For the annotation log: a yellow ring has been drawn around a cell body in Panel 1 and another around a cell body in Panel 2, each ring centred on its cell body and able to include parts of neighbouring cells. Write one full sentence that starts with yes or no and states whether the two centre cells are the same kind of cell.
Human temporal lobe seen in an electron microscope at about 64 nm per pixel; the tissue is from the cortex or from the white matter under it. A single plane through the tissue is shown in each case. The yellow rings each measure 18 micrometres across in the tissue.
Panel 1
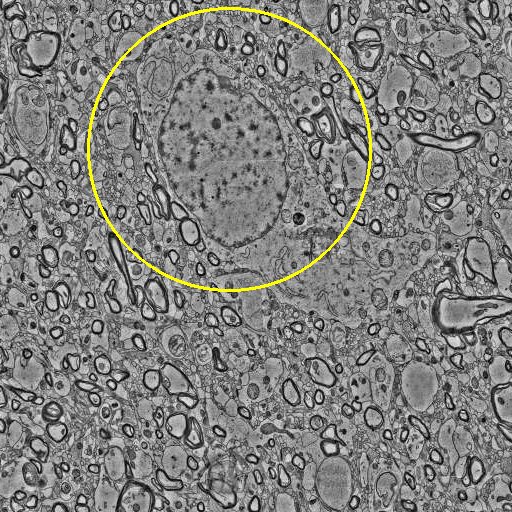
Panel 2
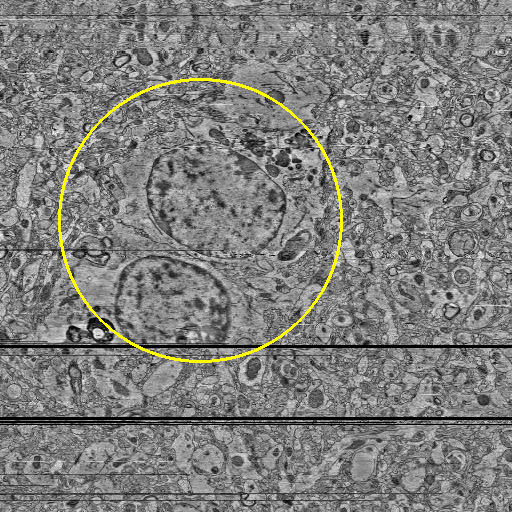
No, the two centre cells are two kinds of cell.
